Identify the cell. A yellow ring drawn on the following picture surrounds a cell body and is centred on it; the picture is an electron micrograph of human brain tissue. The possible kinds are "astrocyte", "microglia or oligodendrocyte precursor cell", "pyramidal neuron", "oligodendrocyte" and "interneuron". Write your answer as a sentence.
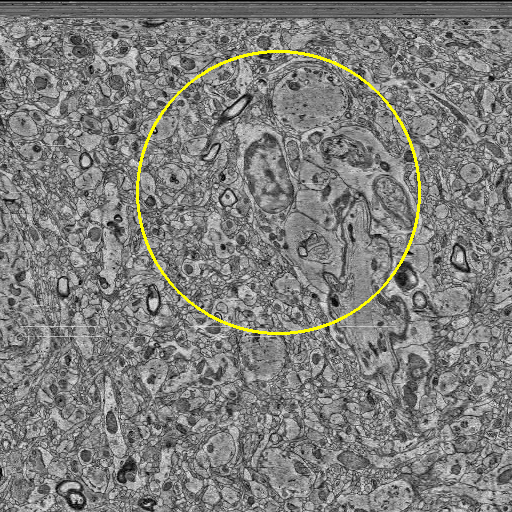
The cell identified by the ring is a microglial cell or oligodendrocyte precursor cell.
